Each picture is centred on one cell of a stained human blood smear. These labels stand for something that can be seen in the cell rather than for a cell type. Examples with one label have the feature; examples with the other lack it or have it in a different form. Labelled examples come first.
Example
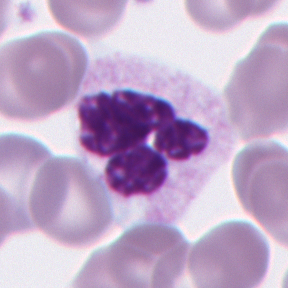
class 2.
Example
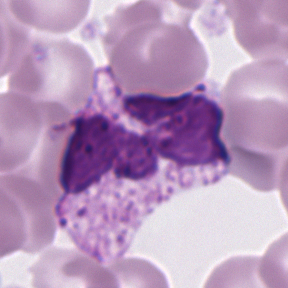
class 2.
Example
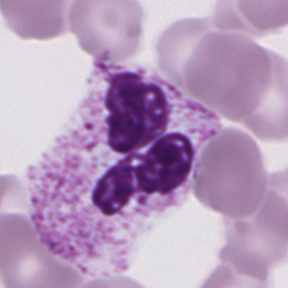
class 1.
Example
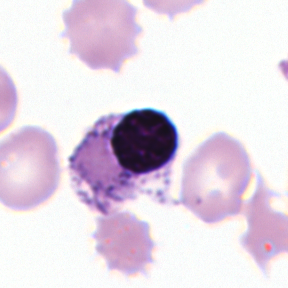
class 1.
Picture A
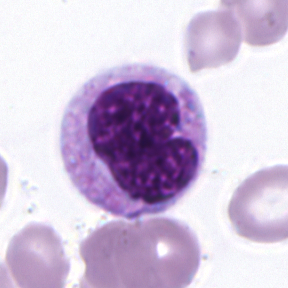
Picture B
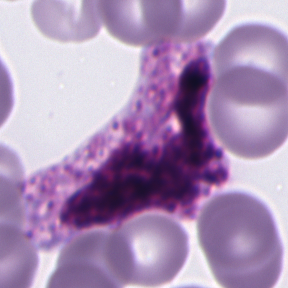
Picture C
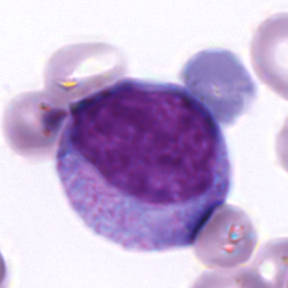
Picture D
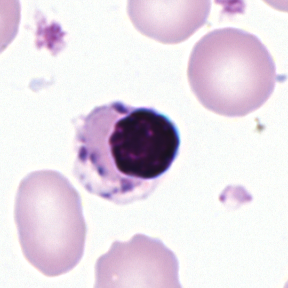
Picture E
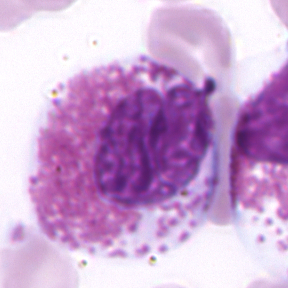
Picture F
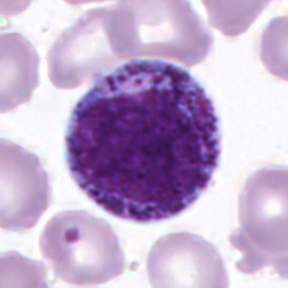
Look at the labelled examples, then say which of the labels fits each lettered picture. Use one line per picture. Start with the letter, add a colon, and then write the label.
A: class 2.
B: class 2.
C: class 2.
D: class 1.
E: class 1.
F: class 1.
